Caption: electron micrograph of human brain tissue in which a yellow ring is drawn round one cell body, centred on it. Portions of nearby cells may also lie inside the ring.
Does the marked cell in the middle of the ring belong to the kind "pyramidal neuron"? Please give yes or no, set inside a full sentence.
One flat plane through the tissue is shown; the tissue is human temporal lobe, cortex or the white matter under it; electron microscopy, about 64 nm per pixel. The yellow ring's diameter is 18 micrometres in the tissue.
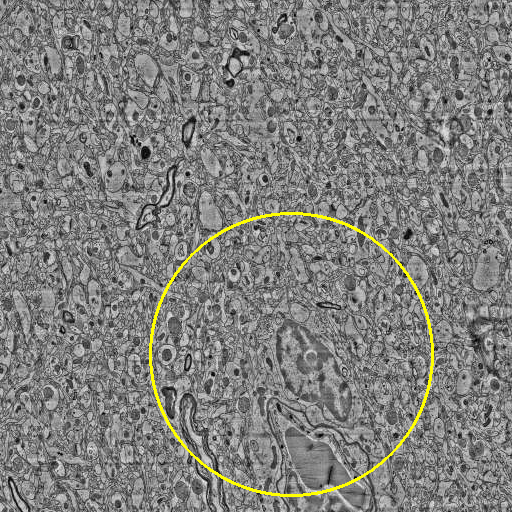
No, the marked cell that the ring is centred on in the picture is of another kind.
